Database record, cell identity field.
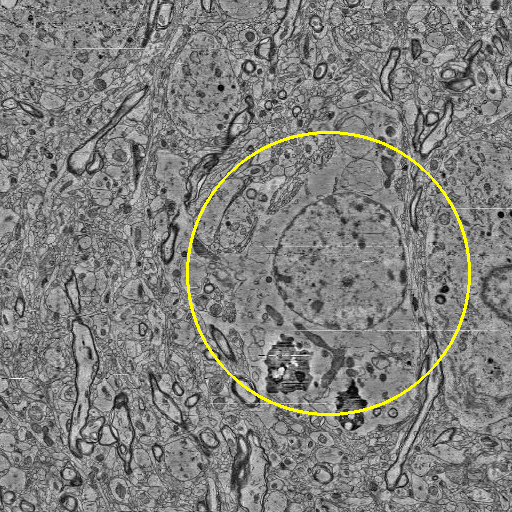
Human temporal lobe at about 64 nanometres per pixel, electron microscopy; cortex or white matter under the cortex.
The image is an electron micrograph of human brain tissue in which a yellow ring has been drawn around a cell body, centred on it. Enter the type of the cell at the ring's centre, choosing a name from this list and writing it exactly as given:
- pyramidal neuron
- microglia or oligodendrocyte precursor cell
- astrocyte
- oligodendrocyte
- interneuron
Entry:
astrocyte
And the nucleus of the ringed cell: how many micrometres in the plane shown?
The nucleus measures about 9 micrometers across in this plane.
